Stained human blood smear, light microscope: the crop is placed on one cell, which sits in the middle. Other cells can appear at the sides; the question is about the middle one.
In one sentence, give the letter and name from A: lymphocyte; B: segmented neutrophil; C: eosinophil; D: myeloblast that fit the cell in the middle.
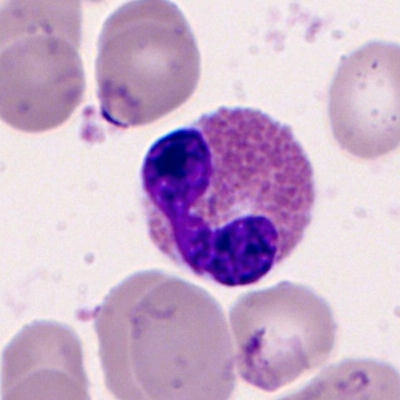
Given that the cell in the middle is an eosinophil, option C is correct.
